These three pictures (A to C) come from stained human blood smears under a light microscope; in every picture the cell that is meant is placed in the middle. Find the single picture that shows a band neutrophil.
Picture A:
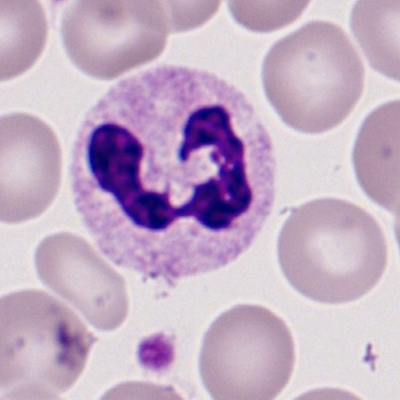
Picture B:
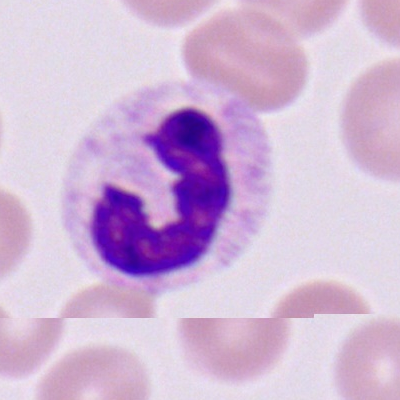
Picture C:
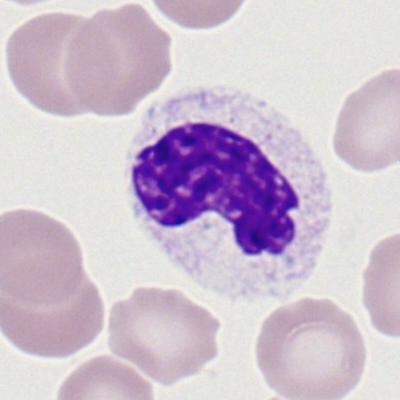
C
